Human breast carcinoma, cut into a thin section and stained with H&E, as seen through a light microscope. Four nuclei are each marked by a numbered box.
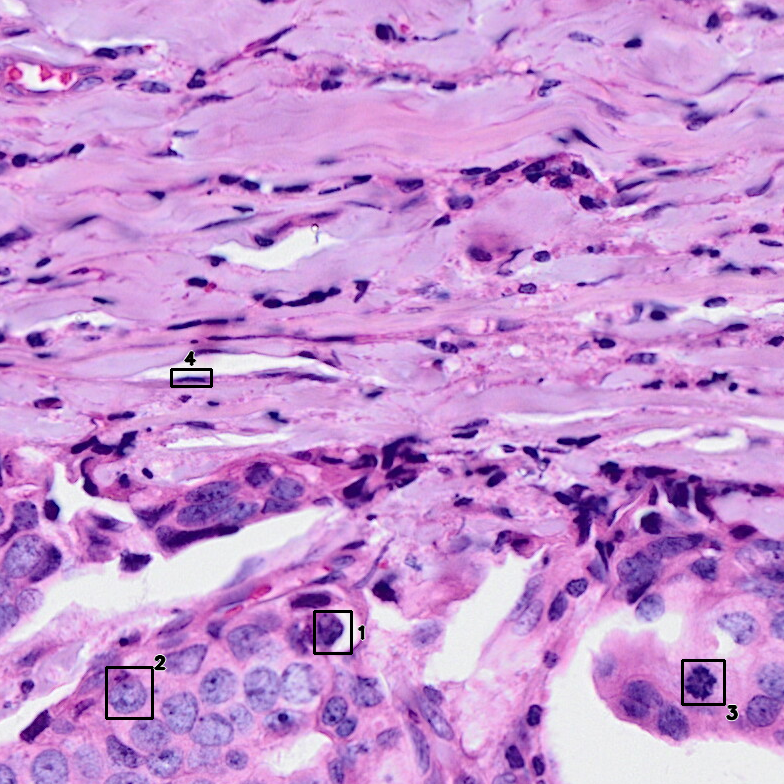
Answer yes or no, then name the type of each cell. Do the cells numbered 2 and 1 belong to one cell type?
Yes, cell 2 and likewise cell 1 are carcinoma cells.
